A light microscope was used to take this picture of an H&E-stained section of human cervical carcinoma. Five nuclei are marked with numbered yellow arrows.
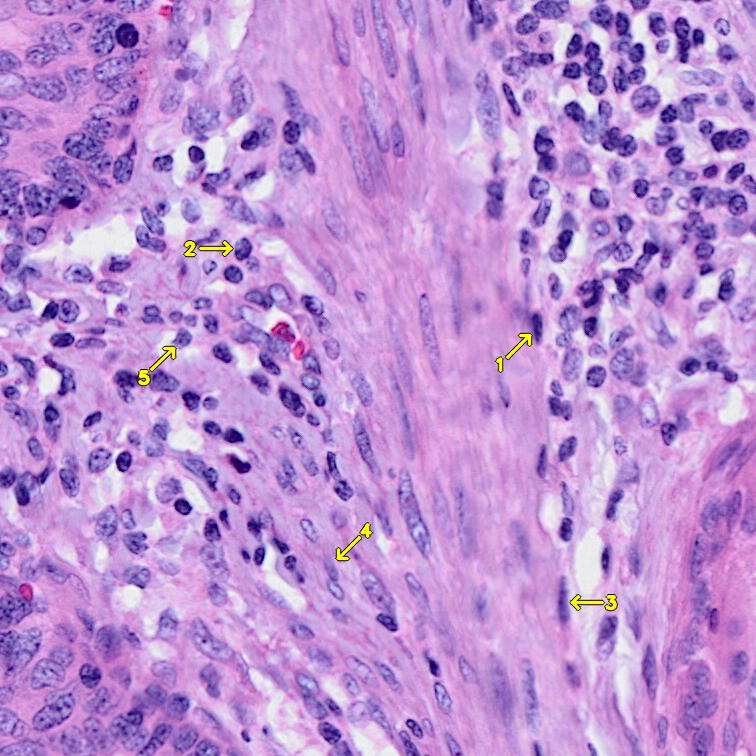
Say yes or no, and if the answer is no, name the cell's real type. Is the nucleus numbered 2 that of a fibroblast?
No, it is a lymphocyte.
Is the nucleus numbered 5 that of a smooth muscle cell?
No, it is a lymphocyte.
